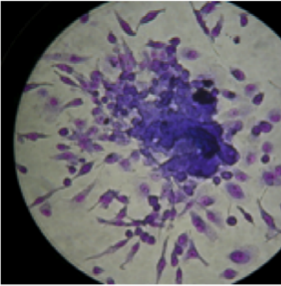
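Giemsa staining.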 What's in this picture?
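A cluster of cells stained purple sits in the centre, with round cells packed densely and a darker, almost black mass at its core. Around it, many elongated spindle-shaped cells with purple nuclei and paler tapering cytoplasm spread outward in all directions. Farther from the centre the cells lie singly and more sparsely on the pale background. This arrangement of a central core of round cells with spindle cells radiating from it is a colony forming unit.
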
